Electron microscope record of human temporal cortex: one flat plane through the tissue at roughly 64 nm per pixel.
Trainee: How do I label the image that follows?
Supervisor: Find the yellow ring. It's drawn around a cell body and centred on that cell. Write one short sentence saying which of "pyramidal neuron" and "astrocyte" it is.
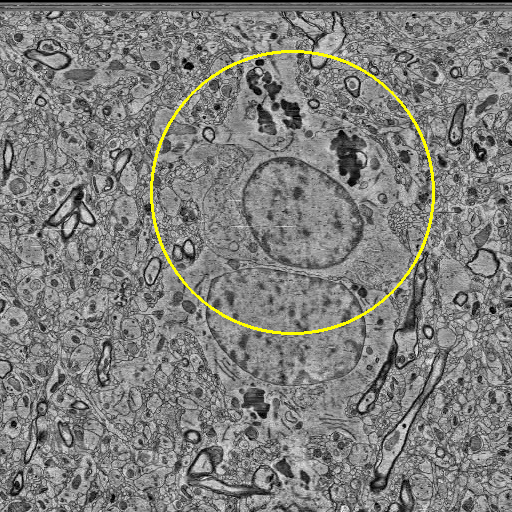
This is the cell body of an astrocyte.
